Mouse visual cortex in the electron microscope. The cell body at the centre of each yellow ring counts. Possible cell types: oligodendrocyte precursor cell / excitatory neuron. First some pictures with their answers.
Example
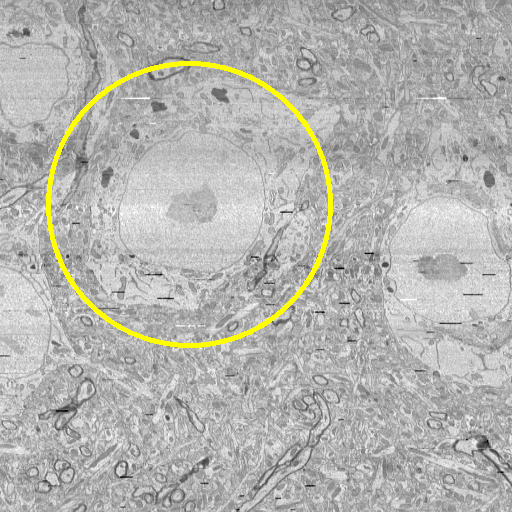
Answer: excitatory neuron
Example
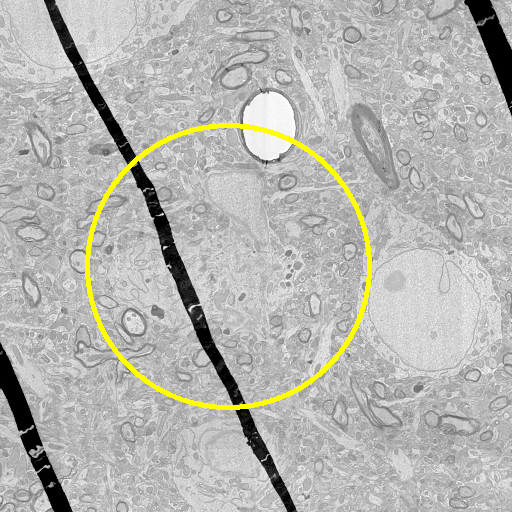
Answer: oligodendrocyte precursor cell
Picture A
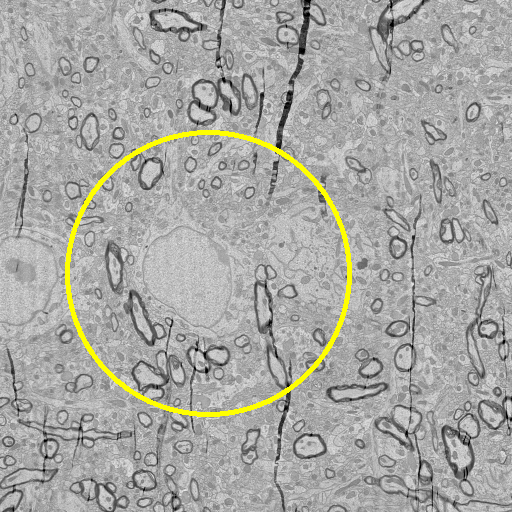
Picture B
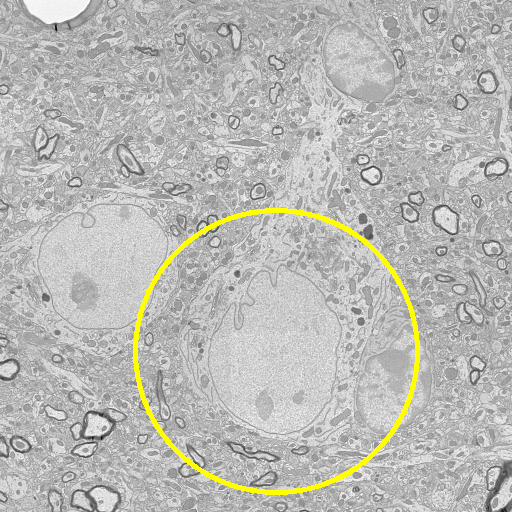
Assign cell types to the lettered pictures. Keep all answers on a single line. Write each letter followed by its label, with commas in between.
A oligodendrocyte precursor cell, B excitatory neuron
